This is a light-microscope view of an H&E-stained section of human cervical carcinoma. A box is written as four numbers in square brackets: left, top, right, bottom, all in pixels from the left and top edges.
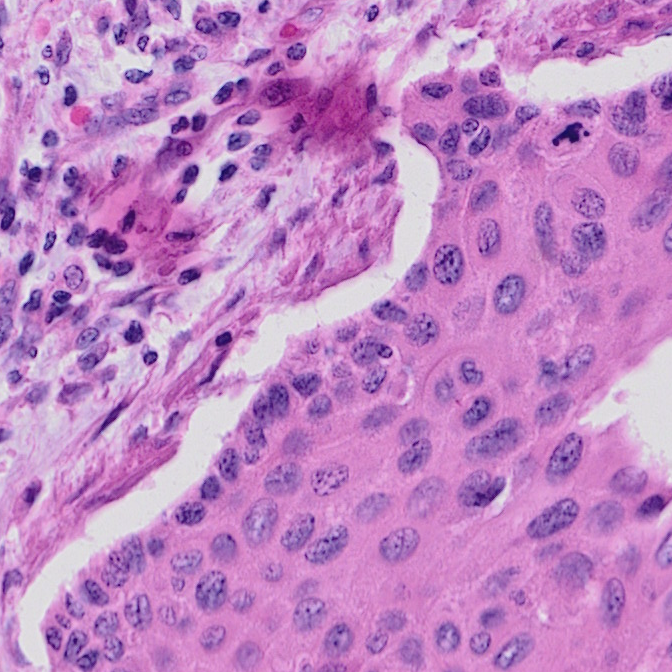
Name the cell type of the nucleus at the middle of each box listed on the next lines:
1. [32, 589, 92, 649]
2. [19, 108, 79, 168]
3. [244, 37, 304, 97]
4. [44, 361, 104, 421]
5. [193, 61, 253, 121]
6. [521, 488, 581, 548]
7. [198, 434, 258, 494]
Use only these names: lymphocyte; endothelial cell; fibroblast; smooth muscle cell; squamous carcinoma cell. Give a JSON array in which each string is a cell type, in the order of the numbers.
["squamous carcinoma cell", "lymphocyte", "lymphocyte", "fibroblast", "lymphocyte", "squamous carcinoma cell", "squamous carcinoma cell"]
